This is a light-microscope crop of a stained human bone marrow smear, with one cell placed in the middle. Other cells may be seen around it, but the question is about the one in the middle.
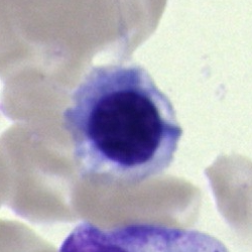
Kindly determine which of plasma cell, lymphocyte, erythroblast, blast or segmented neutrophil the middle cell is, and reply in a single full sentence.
As for the cell in the middle, it is an erythroblast.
